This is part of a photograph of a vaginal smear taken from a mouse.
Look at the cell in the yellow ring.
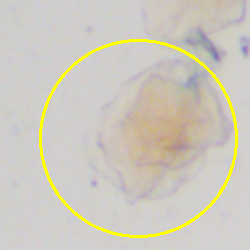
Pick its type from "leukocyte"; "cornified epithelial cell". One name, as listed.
cornified epithelial cell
